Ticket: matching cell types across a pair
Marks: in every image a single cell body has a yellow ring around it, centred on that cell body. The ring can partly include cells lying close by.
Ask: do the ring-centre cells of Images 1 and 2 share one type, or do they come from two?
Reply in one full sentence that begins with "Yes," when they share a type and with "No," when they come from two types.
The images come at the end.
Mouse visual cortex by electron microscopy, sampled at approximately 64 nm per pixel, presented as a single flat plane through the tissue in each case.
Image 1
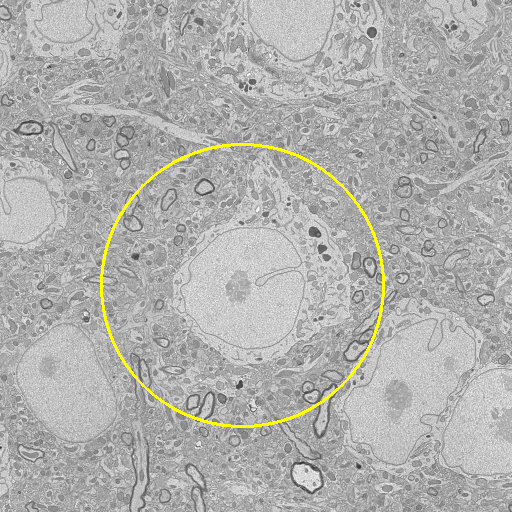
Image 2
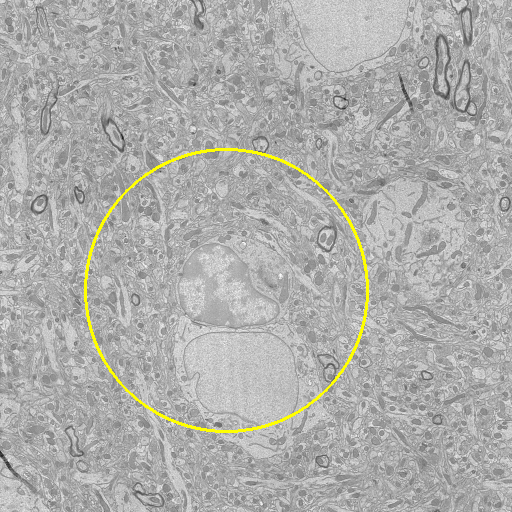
No, the cells in the centres of the rings in Image 1 and Image 2 come from two types.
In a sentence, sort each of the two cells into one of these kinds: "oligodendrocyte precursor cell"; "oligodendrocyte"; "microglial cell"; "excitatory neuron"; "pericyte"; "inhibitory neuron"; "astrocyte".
The first of the two cells is an excitatory neuron, and the second is an oligodendrocyte.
